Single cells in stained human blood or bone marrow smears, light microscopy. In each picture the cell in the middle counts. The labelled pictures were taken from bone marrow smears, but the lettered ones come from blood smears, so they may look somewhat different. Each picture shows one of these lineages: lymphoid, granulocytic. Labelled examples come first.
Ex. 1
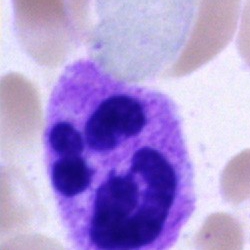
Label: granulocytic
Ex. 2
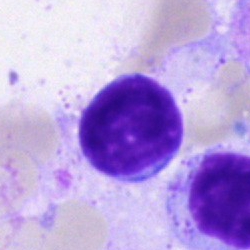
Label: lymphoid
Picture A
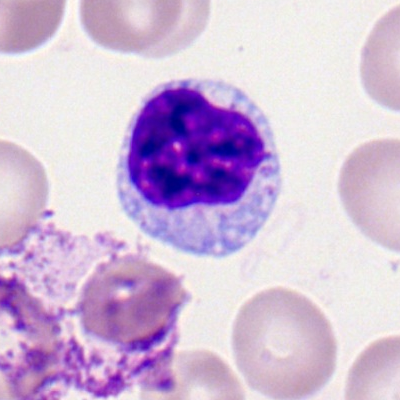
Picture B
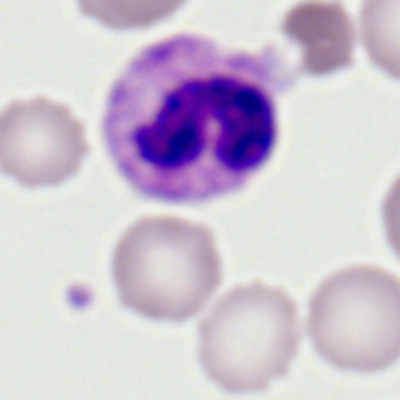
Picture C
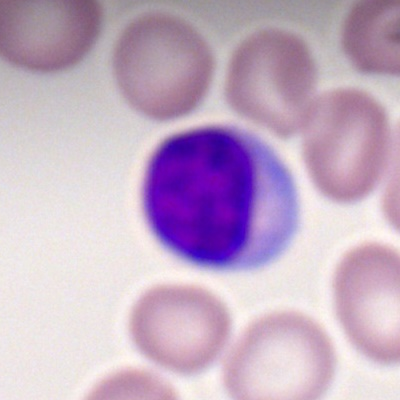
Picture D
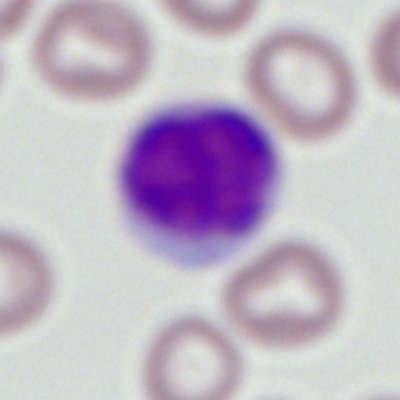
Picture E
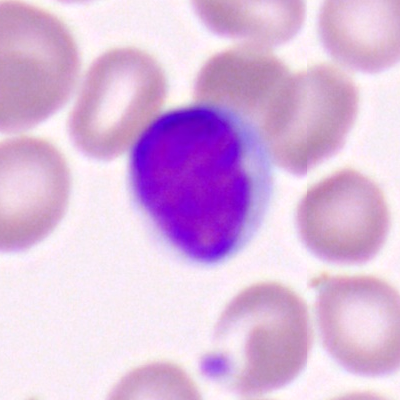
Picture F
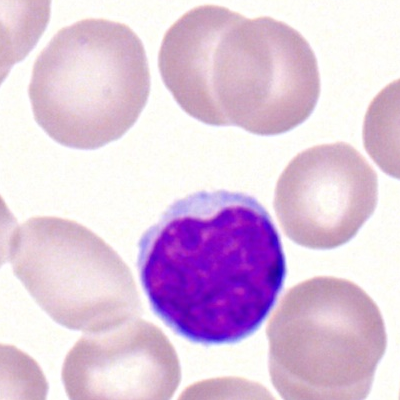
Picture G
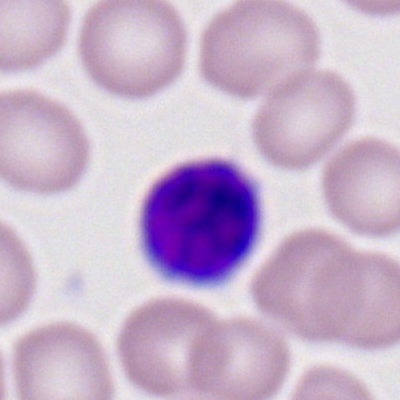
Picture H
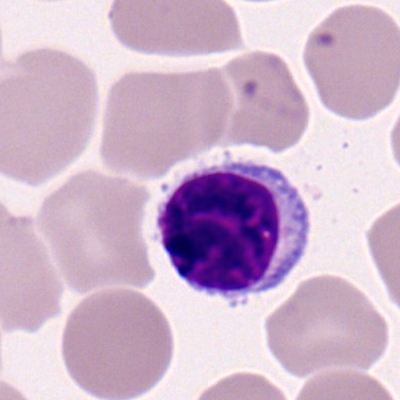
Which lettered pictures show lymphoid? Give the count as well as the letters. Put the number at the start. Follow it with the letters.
7, namely A, C, D, E, F, G, H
